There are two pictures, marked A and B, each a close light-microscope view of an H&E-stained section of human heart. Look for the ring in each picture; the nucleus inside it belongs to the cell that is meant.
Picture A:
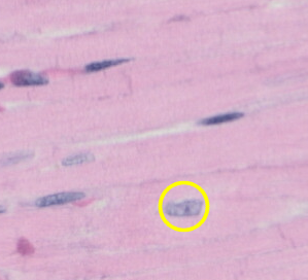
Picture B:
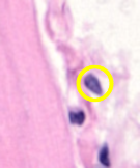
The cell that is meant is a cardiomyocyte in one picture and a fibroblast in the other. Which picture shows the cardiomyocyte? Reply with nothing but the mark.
A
